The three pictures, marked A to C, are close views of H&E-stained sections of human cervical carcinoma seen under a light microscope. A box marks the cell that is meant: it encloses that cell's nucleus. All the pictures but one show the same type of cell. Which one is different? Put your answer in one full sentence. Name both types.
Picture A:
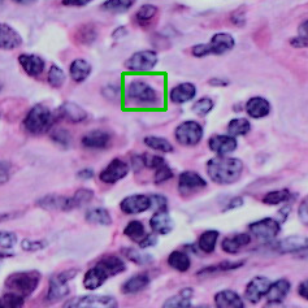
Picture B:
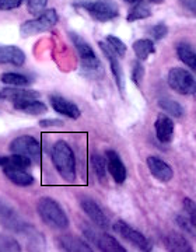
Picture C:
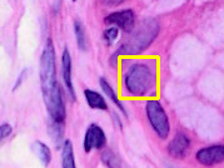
Unlike the rest, which show secretory epithelial cells, picture A shows a lymphocyte.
